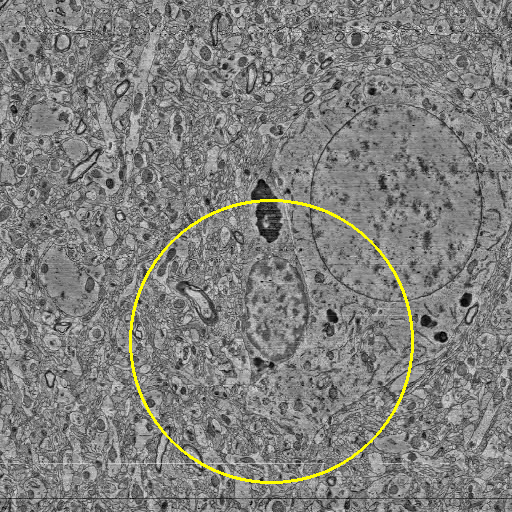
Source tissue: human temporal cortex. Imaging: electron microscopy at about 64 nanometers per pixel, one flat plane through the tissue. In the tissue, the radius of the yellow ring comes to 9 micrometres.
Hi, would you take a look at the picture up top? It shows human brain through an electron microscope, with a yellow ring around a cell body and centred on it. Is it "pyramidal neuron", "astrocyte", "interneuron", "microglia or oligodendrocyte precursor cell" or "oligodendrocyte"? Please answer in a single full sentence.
The best fit for the cell in the middle of the ring is an oligodendrocyte, I reckon.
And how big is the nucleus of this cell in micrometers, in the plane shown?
In this plane the nucleus measures about 7 by 4 micrometres and is clearly longer than it is wide.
